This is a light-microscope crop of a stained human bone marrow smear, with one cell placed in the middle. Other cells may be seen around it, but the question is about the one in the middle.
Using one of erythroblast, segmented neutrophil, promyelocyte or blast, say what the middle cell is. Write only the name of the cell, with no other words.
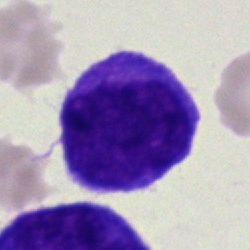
blast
